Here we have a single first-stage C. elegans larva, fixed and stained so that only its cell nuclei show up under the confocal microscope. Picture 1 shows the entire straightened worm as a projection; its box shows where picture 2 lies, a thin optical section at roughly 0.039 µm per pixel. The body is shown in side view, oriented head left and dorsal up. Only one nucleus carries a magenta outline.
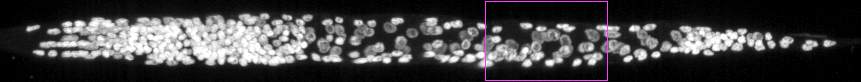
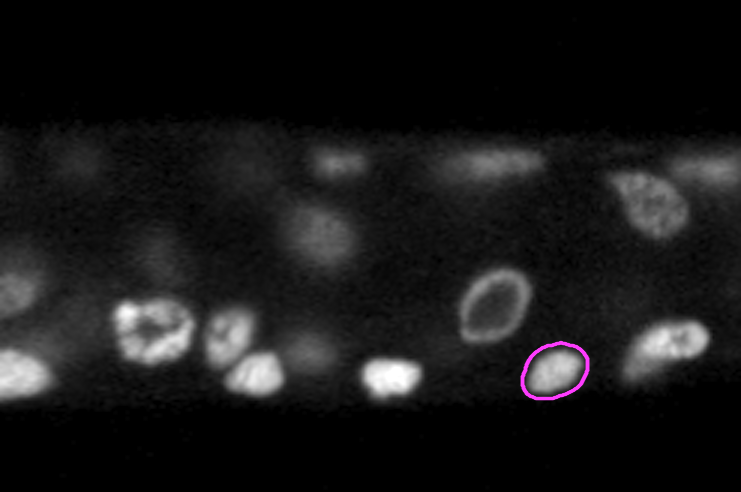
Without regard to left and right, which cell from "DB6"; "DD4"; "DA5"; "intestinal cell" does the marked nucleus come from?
DB6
